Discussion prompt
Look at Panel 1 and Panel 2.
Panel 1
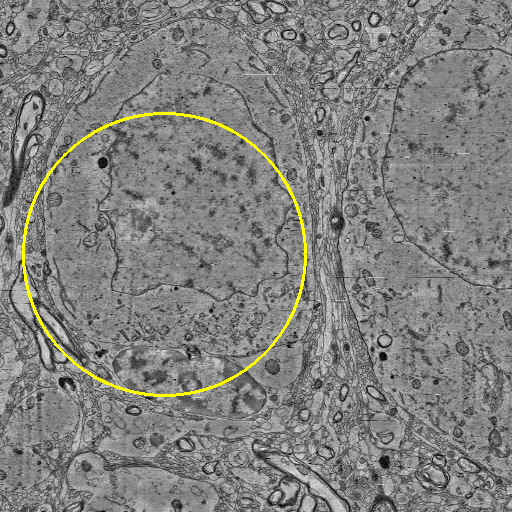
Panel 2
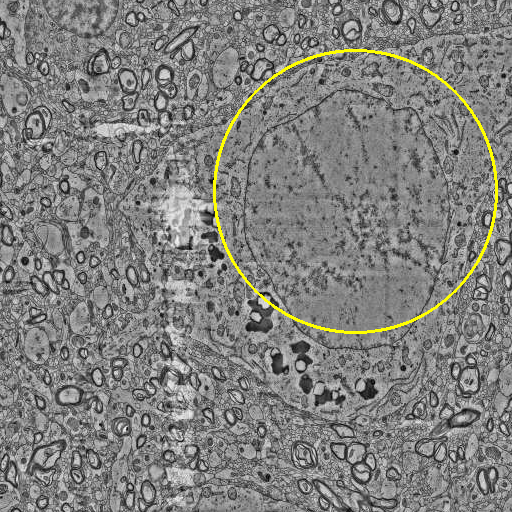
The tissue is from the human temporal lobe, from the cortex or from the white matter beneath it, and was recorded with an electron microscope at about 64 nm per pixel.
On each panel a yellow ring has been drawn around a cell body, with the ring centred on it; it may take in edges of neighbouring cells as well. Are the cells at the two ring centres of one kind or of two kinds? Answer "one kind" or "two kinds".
one kind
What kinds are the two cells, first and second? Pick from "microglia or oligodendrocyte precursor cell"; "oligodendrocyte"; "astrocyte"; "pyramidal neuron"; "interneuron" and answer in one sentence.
Both rings mark a pyramidal neuron, one in each picture.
